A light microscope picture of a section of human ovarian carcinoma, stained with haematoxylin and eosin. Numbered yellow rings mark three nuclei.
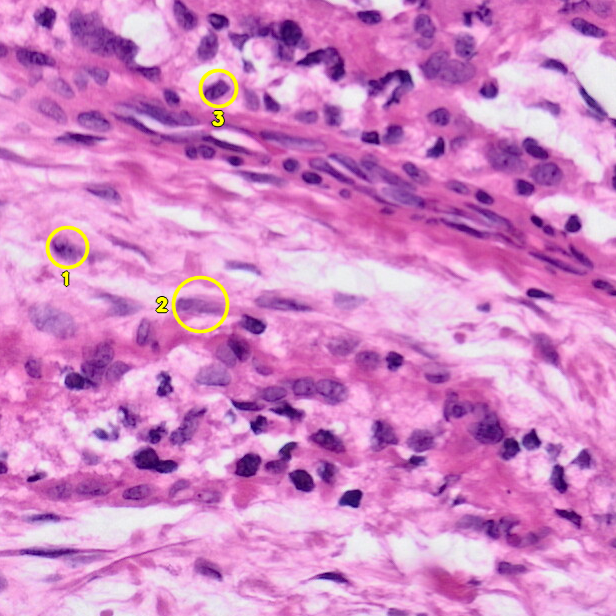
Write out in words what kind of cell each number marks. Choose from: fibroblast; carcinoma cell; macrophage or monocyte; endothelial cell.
Cell 1 is a fibroblast, cell 2 is a fibroblast and cell 3 is a macrophage or monocyte.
